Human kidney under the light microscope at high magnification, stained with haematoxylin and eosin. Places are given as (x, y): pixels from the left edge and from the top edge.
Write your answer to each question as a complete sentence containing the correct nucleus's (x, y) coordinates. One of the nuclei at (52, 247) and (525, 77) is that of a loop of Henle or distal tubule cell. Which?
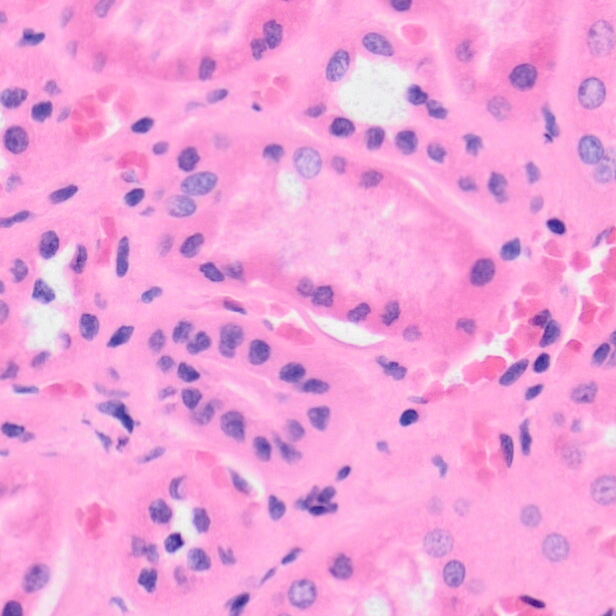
Answering which nucleus it is: the one at (52, 247), belonging to a loop of Henle or distal tubule cell.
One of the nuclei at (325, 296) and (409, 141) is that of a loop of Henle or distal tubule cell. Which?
The nucleus at (409, 141) is assigned to a loop of Henle or distal tubule cell.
